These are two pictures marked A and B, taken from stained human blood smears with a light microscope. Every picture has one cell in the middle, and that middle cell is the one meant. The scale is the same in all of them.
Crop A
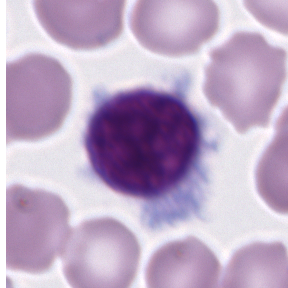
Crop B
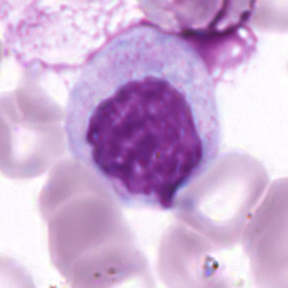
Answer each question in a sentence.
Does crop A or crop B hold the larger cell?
The cell in crop B is larger, with about 1.5 times the area of the one in crop A.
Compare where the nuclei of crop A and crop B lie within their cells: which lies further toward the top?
It is the nucleus in crop A that lies further toward the top of its cell.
